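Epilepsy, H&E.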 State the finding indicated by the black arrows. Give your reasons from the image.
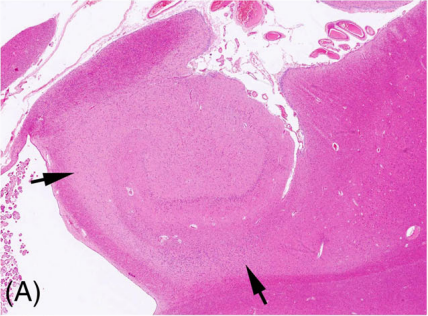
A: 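Neuronal loss. The arrows point to a thin, pale stretch of the curved hippocampal cell band.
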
